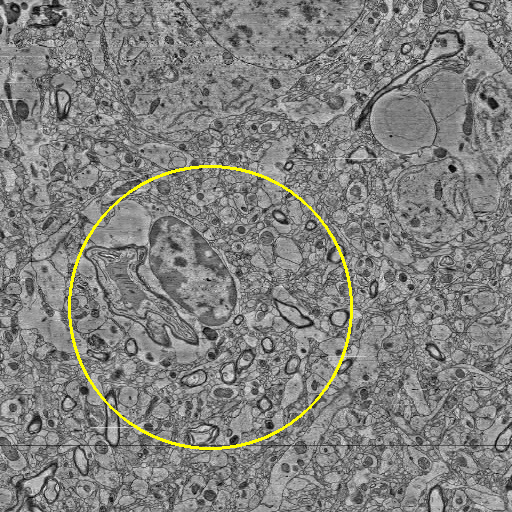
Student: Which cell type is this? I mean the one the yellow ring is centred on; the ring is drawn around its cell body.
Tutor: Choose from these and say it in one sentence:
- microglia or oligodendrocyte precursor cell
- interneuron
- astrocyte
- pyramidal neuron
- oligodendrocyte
The cell the ring is centred on is a microglial cell or oligodendrocyte precursor cell.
